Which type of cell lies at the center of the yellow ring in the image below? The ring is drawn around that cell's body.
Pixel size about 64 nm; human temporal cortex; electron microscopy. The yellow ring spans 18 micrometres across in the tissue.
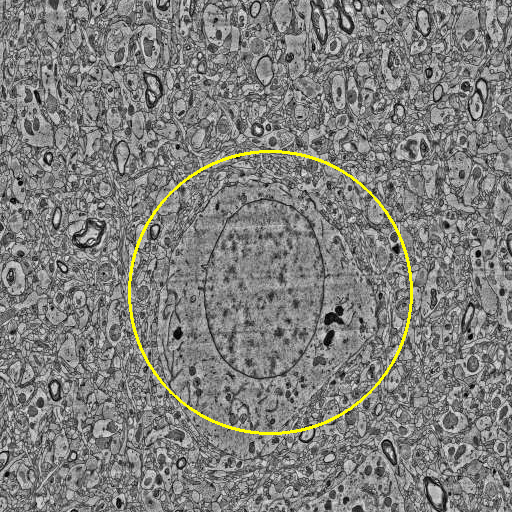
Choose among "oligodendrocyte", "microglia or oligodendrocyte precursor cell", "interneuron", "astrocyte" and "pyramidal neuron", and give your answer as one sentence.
The cell body at the center belongs to a pyramidal neuron.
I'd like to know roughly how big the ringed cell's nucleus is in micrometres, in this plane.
The nucleus of the ringed cell is approximately 12 by 8 micrometres in this plane.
